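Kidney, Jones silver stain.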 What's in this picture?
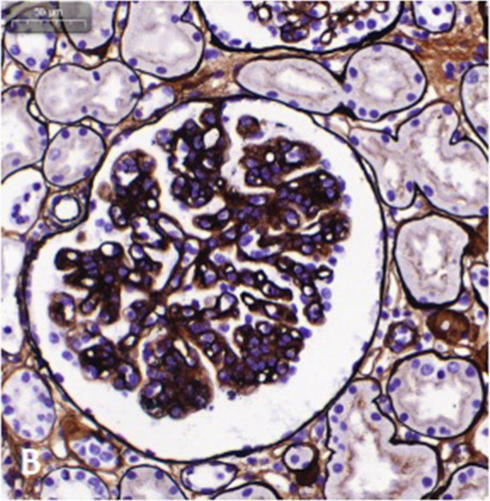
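Glomerulus with a lobulated, hypercellular tuft in which black silver-stained capillary loop walls and mesangial areas outline crowded blue nuclei. The capillaries are narrow, and the surrounding tubules show thin black basement membranes around pale epithelium.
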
